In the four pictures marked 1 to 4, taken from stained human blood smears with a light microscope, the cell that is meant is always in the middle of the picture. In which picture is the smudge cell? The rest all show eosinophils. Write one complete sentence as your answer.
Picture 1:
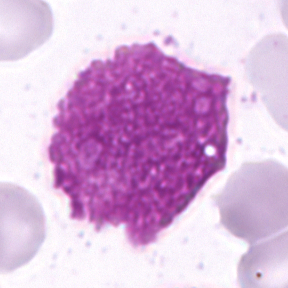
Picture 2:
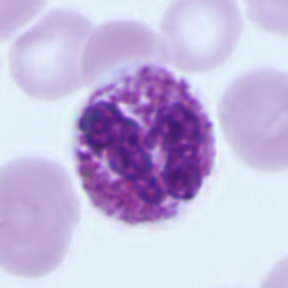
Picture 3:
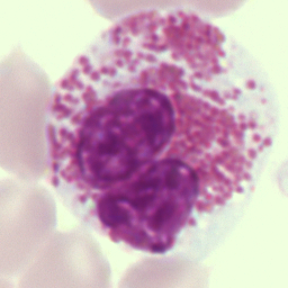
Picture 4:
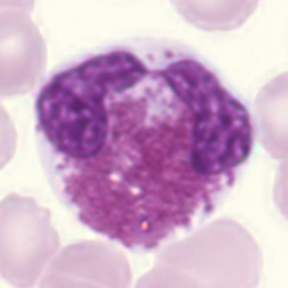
The cell in picture 1 is the smudge cell.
